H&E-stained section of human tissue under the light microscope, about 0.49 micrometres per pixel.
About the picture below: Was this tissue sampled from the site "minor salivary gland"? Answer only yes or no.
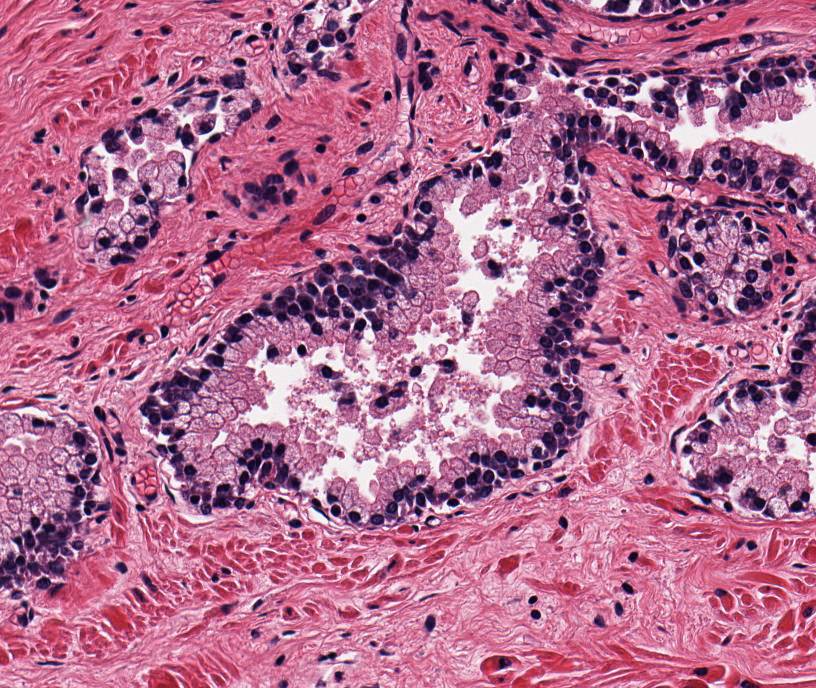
no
